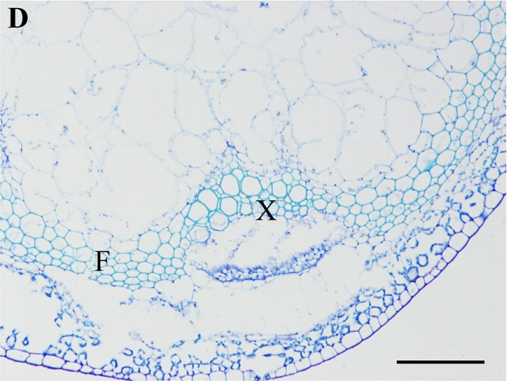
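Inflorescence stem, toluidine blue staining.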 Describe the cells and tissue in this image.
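This is a sector of a stem cross-section, from the surface inwards. Along the curved outer edge runs a single layer of small surface cells with purple-stained outer walls. Inside it lie a few layers of small, loosely arranged cells. Further in, a continuous band of small polygonal cells with thick turquoise walls follows the curve of the stem. Near the middle, this band widens into a cluster that includes some larger, rounder thick-walled cells. Beneath that cluster is a strip of purple-stained material. The centre of the stem is filled with very large cells whose thin walls are pale.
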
